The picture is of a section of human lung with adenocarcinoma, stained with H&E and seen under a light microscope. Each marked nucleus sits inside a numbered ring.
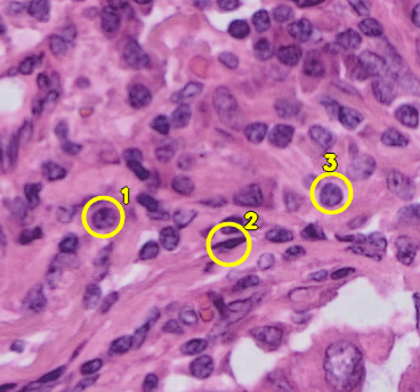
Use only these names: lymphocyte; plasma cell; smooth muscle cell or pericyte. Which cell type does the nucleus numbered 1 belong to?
plasma cell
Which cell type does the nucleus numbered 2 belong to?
lymphocyte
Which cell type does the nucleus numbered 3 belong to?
lymphocyte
